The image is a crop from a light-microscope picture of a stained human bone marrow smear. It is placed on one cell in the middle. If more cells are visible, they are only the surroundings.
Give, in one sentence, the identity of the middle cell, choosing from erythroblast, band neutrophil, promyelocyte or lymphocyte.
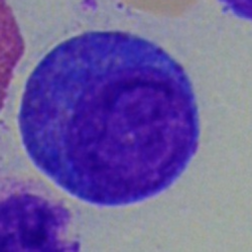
In the center of this field lies a promyelocyte.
